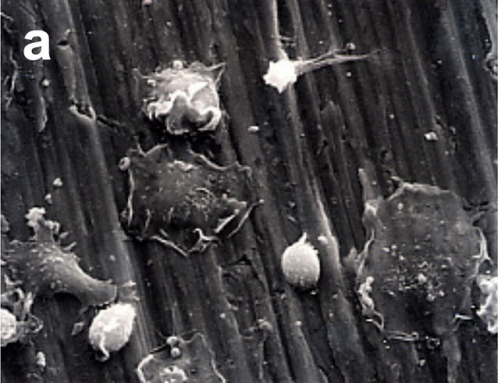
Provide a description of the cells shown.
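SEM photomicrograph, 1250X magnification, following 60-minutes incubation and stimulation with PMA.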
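Scattered cells lie on a surface marked by parallel longitudinal grooves, seen by scanning electron microscopy. Several cells are markedly flattened, forming thin, broad, irregular sheets of membrane that spread over the grooved surface, their outlines angular with short processes at the edges; some show a slightly raised, roughened central region. Between them a few small cells remain rounded and compact, with textured surfaces, and one small cell bears a single long thin process. The flattened cells are much larger in outline than the rounded ones.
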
